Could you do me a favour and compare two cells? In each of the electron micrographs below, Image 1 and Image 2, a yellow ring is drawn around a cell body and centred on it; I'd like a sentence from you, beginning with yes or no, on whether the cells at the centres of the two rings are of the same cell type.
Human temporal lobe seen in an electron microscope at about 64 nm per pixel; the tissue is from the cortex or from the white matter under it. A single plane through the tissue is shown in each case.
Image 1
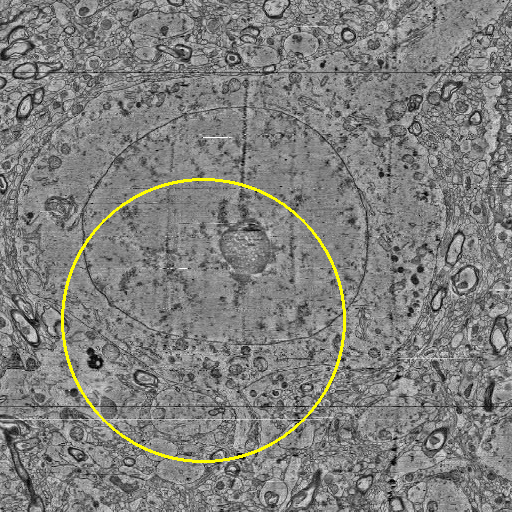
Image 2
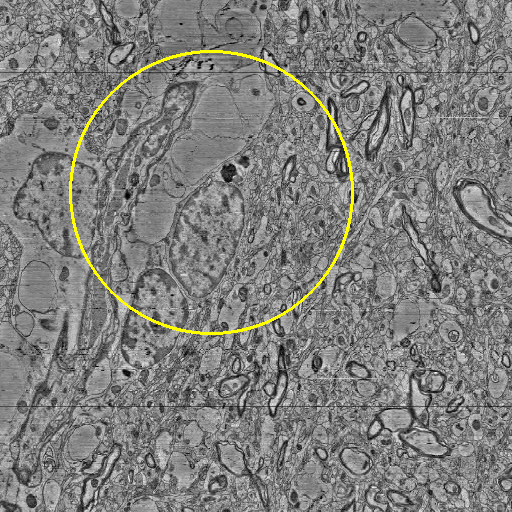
No, the two cells are of two cell types.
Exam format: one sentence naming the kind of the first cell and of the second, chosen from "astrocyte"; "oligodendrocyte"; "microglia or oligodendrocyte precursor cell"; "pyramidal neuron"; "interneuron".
The first picture's cell is a pyramidal neuron, and the second picture's cell is an oligodendrocyte.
